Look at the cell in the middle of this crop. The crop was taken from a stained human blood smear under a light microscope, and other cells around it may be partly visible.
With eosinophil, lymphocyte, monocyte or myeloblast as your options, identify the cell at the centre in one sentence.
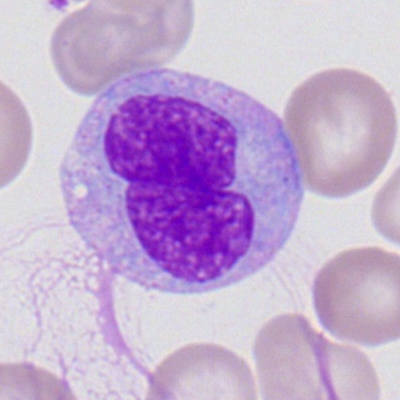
The cell positioned in the middle of the field is a monocyte.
